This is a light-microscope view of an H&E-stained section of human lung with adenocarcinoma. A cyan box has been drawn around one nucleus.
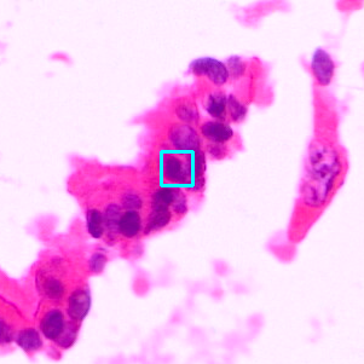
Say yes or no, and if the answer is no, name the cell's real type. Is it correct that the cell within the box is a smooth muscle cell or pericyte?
No, it is a ciliated epithelial cell.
